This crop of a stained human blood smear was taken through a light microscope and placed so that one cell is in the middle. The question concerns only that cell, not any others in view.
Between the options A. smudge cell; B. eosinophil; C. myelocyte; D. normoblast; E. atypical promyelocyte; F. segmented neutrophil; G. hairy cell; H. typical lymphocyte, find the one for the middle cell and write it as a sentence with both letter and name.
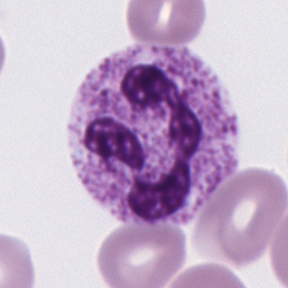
Option F is correct; the cell in the middle is a segmented neutrophil.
